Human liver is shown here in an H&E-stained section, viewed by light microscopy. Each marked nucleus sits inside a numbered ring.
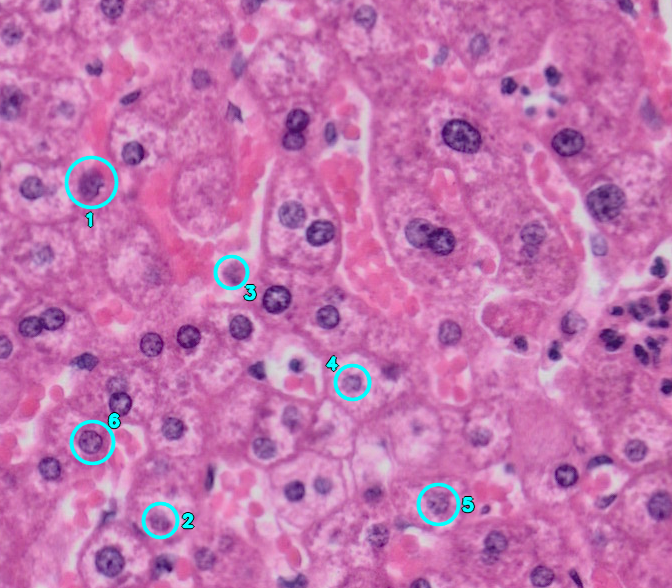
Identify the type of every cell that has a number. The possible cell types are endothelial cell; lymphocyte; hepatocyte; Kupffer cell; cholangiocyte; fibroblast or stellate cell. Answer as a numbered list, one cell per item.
1. endothelial cell
2. hepatocyte
3. Kupffer cell
4. hepatocyte
5. hepatocyte
6. hepatocyte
